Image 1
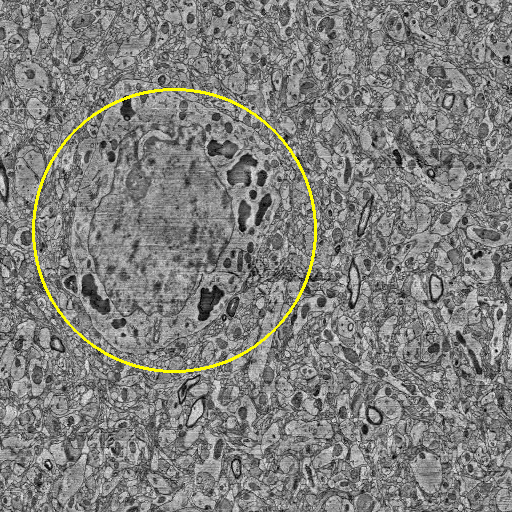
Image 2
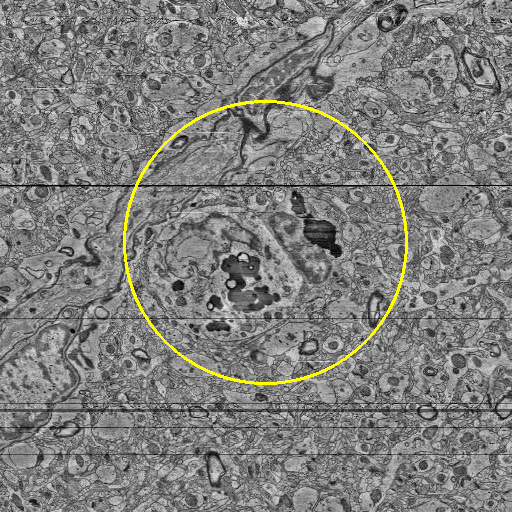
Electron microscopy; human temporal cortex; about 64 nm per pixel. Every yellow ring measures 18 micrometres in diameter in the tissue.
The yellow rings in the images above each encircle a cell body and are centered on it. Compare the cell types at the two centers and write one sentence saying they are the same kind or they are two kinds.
Taken together, the two cells at the ring centers are two kinds.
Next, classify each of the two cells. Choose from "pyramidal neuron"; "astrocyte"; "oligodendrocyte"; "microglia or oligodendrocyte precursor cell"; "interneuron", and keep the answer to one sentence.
In the first picture it is an interneuron; in the second it is an oligodendrocyte.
